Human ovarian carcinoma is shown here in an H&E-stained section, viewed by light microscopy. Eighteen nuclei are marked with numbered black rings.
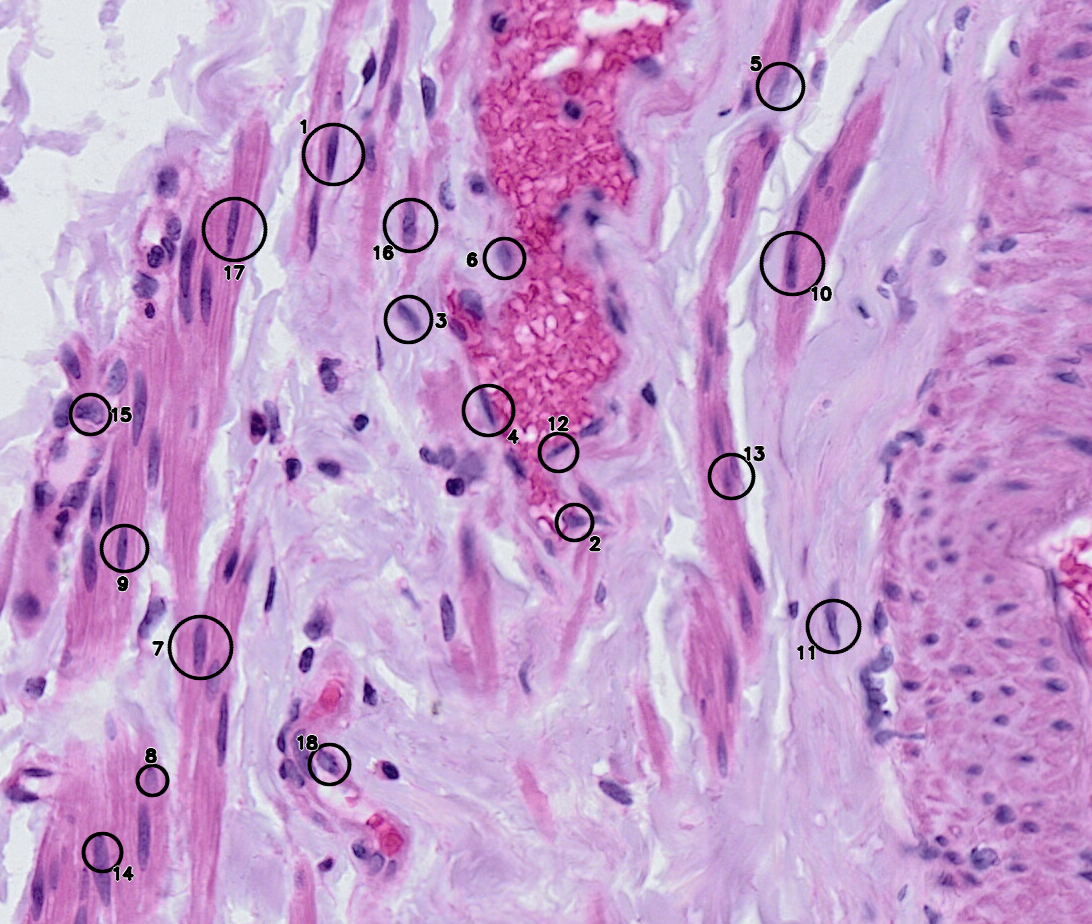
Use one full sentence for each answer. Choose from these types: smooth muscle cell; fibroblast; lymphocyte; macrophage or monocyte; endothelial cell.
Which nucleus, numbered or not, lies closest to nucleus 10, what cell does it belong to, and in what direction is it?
Just above nucleus 10 lies the nearest nucleus, which belongs to a smooth muscle cell.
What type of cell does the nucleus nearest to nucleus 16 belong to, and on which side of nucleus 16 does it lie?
A macrophage or monocyte lies closest, above and to the right of nucleus 16.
